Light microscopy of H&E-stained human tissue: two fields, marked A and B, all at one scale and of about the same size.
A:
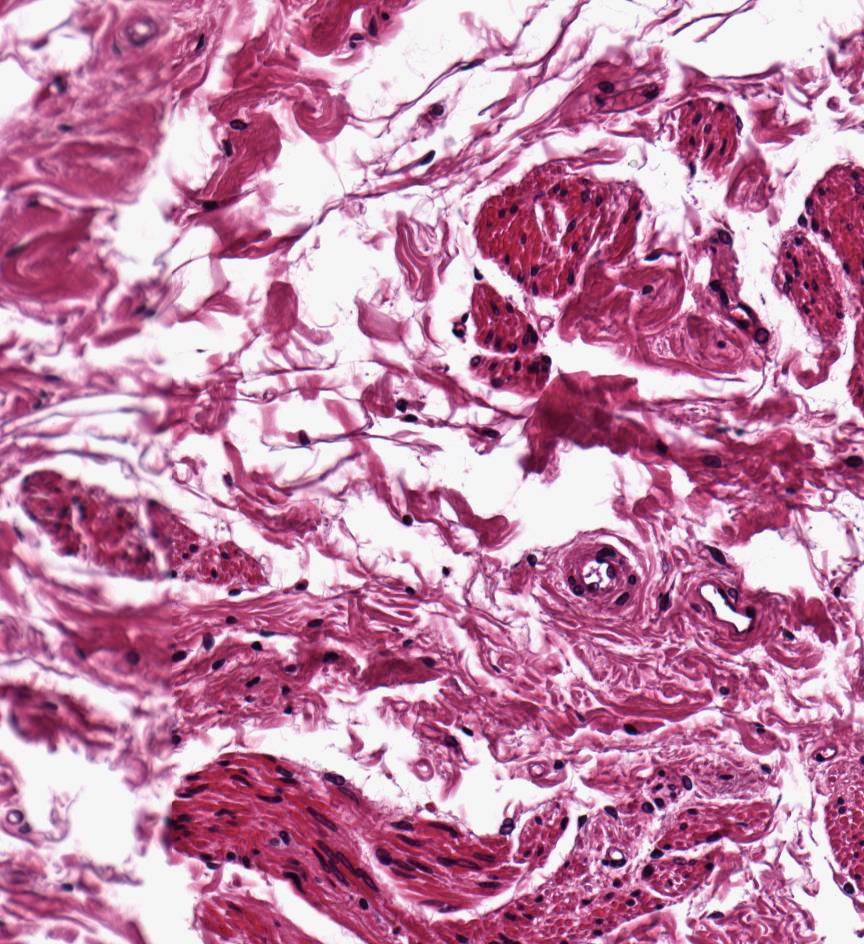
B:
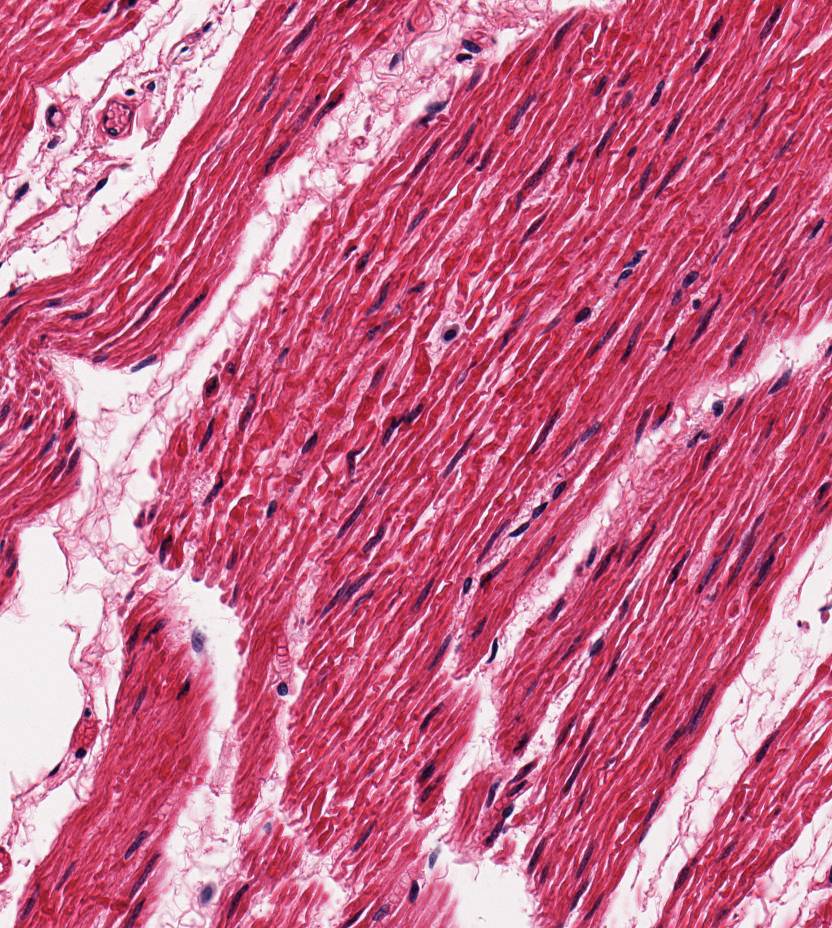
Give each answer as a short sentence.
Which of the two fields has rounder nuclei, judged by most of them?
It is field A whose nuclei are the rounder.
